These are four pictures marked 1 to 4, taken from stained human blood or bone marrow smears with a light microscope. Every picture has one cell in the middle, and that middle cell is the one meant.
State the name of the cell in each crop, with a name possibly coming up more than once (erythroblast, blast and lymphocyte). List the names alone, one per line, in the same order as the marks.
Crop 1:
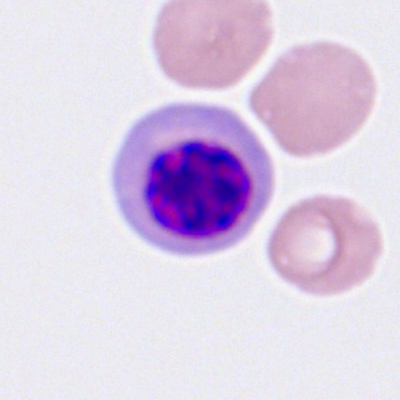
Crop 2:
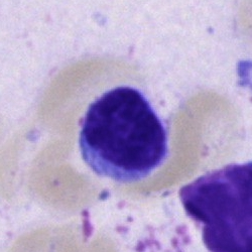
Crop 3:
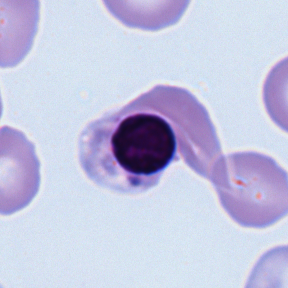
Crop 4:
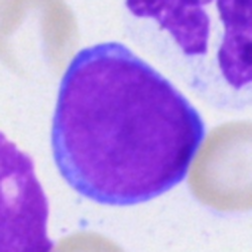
erythroblast
lymphocyte
erythroblast
blast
